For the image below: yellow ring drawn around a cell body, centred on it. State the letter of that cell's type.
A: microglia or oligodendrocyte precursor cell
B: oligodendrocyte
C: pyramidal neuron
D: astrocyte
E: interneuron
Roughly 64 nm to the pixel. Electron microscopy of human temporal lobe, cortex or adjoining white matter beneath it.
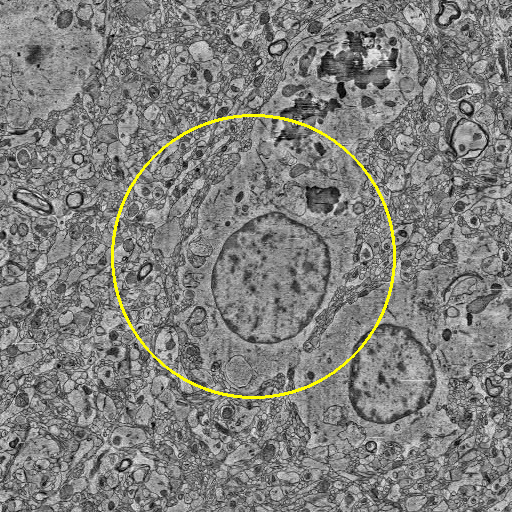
D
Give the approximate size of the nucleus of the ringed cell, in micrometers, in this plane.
The nucleus has a long axis of about 9 micrometres and a short axis of about 7 micrometres in this plane.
